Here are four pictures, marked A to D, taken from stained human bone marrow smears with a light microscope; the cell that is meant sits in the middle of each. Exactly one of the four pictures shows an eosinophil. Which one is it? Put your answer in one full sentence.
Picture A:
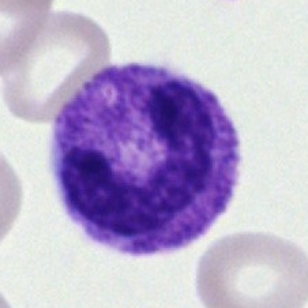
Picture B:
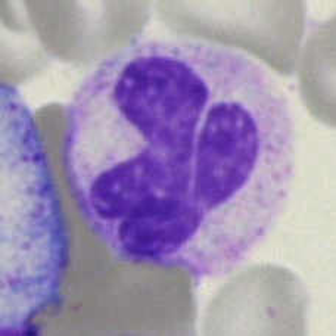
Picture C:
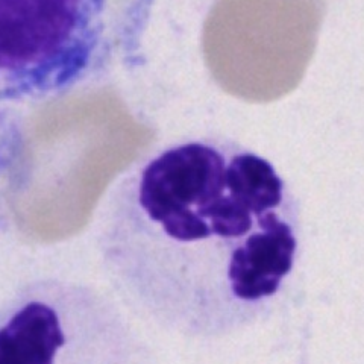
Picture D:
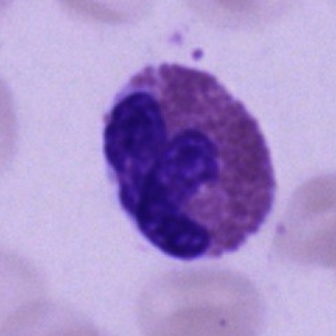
Picture D is the one that shows the eosinophil.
